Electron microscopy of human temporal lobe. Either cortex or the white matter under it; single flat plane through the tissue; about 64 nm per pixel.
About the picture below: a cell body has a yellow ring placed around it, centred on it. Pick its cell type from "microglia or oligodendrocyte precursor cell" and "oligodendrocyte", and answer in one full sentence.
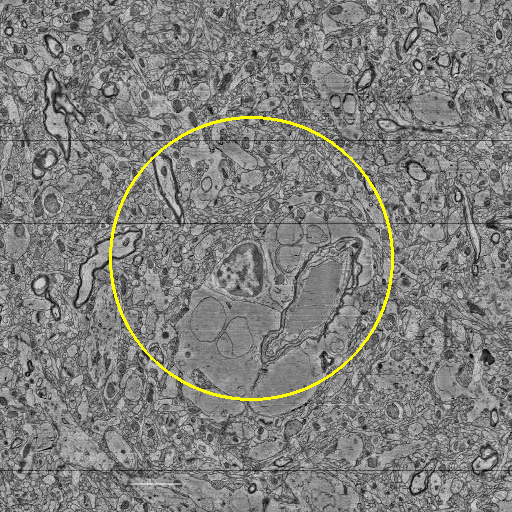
In the picture, a microglial cell or oligodendrocyte precursor cell is the cell sitting at the centre of the yellow ring.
